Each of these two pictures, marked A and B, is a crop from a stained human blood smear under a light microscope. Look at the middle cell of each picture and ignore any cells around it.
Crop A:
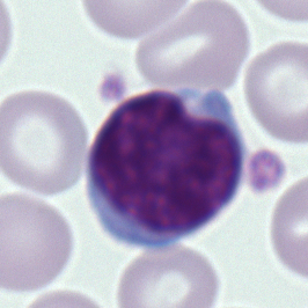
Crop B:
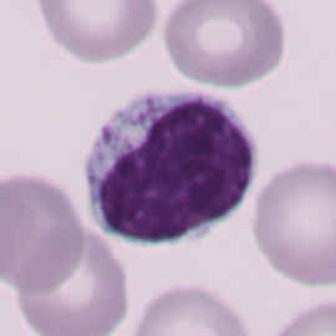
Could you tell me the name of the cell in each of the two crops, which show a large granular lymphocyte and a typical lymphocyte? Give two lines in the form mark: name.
A: typical lymphocyte
B: large granular lymphocyte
